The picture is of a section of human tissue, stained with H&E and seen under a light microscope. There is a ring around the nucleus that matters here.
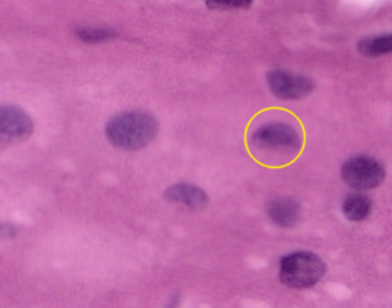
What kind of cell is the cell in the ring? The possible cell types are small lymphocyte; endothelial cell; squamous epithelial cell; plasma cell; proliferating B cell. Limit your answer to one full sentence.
Histopathologically, the cell in the ring is a squamous epithelial cell.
